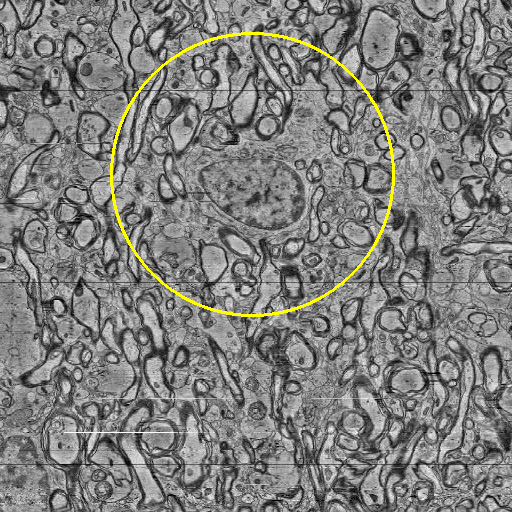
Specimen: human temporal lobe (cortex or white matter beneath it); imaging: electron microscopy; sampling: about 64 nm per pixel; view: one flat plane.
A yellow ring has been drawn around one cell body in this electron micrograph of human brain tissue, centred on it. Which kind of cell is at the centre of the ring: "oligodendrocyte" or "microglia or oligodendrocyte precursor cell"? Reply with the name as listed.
microglia or oligodendrocyte precursor cell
